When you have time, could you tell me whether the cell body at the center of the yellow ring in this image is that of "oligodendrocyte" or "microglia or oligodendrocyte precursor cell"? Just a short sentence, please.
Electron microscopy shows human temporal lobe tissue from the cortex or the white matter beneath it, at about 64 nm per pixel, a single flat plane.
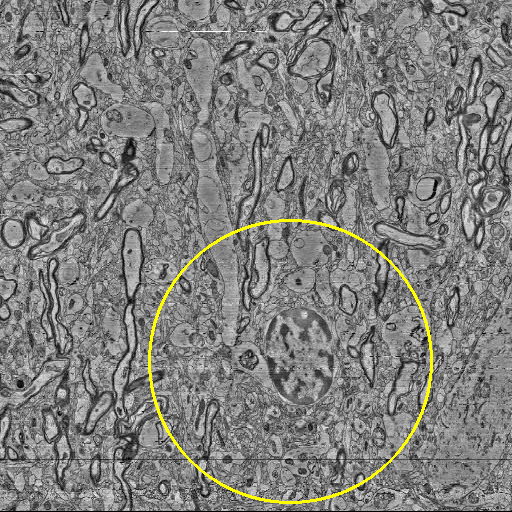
The cell body at the center of the ring is that of a microglial cell or oligodendrocyte precursor cell.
